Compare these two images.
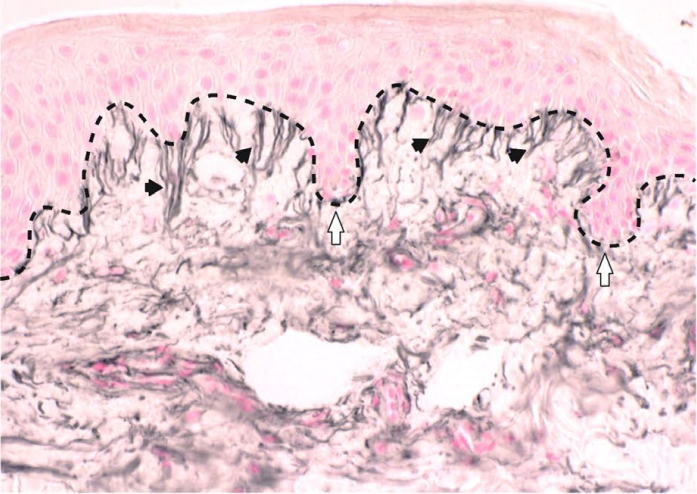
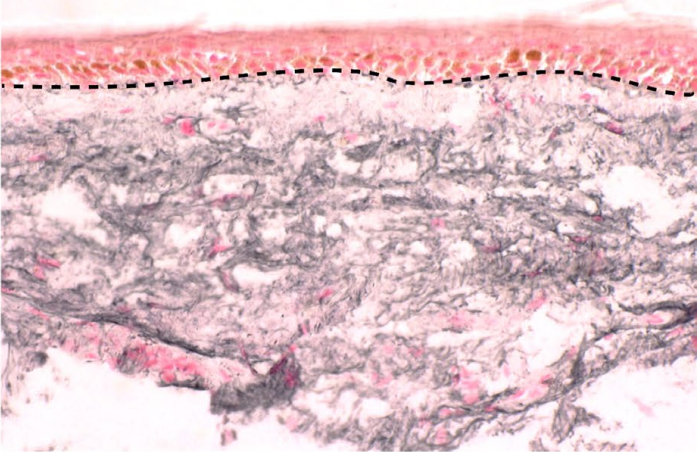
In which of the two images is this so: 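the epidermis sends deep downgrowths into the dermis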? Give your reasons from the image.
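Second image: the epidermis–dermis boundary is almost straight with no downgrowths. First image: the boundary undulates deeply, with pink epithelial projections reaching down into the dermis. So: the first image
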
